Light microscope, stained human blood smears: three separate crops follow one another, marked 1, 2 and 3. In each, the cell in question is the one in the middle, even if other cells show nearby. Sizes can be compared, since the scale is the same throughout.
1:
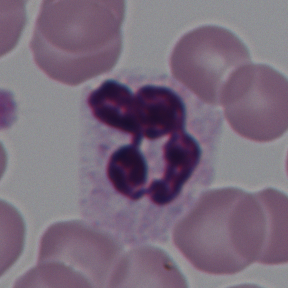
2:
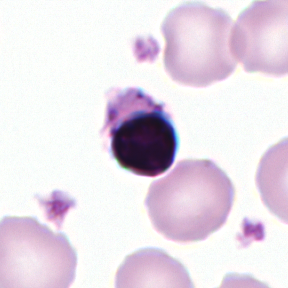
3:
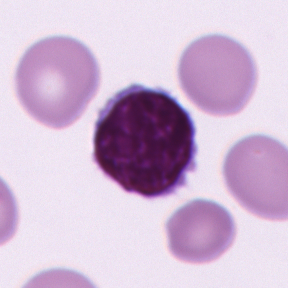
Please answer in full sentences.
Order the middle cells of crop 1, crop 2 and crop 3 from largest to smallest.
Going down, they run 1, 3, 2.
